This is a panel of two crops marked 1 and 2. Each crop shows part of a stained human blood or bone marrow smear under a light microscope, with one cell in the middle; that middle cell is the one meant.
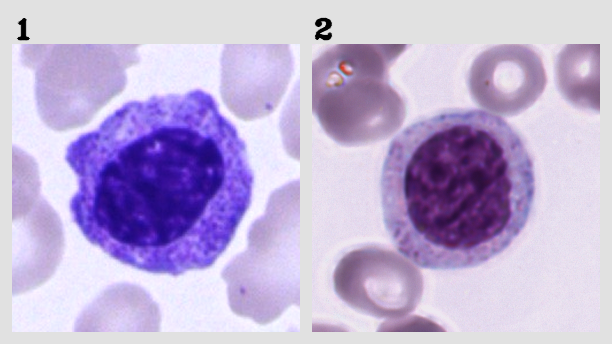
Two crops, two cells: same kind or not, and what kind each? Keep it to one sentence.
Yes, the two crops show myelocytes at their centres.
